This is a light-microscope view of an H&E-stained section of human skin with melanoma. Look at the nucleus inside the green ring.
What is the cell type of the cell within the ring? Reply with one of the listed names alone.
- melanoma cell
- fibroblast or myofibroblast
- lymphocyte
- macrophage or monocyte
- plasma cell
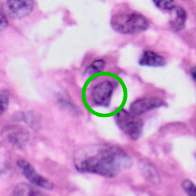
melanoma cell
